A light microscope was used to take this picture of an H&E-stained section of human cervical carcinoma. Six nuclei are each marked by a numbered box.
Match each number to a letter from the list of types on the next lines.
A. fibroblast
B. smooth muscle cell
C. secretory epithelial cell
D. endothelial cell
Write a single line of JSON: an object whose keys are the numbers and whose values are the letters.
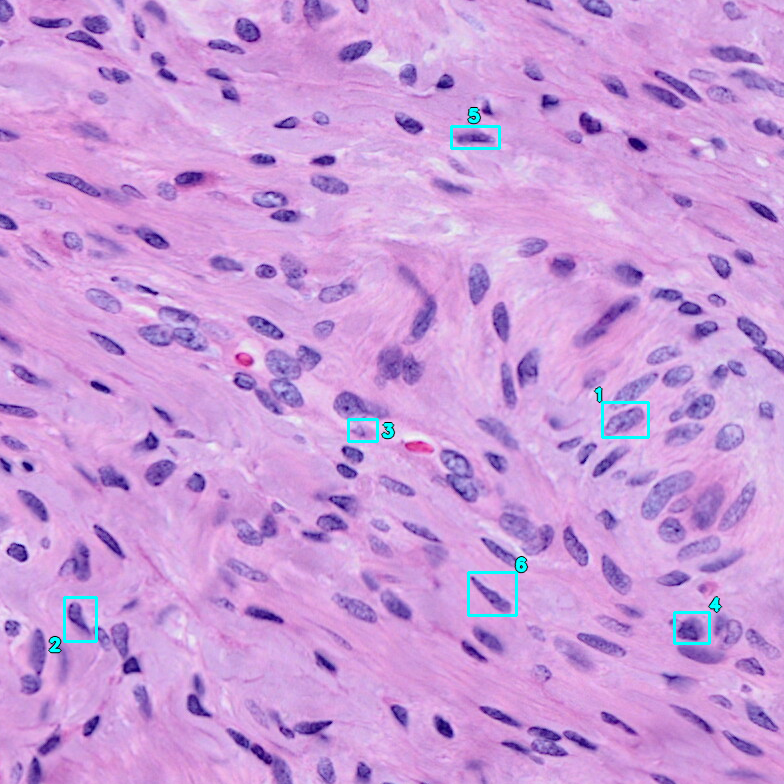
{"1": "B", "2": "A", "3": "D", "4": "A", "5": "A", "6": "A"}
